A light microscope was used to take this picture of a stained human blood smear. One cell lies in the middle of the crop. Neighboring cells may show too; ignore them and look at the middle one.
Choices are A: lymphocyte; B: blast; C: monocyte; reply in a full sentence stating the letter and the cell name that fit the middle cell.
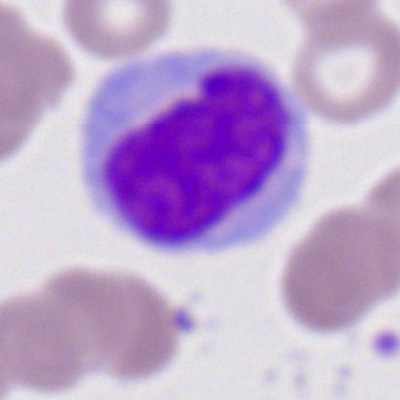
The central cell is a monocyte, which makes option C the right answer.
